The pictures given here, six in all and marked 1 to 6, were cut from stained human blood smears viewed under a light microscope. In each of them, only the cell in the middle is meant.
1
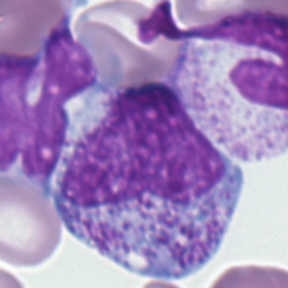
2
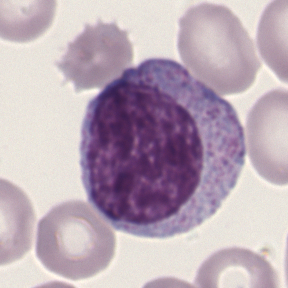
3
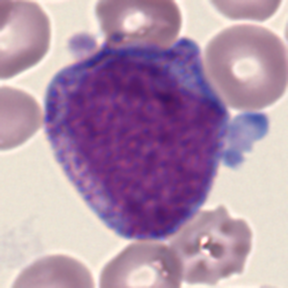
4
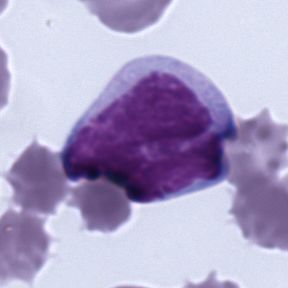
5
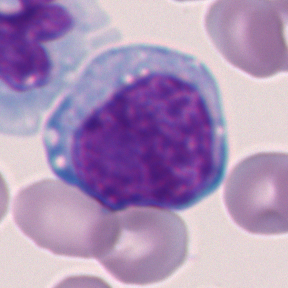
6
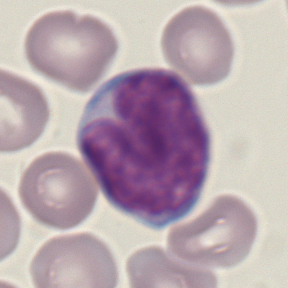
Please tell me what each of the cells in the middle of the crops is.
1: promyelocyte
2: promyelocyte
3: promyelocyte
4: myeloblast
5: myeloblast
6: myeloblast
